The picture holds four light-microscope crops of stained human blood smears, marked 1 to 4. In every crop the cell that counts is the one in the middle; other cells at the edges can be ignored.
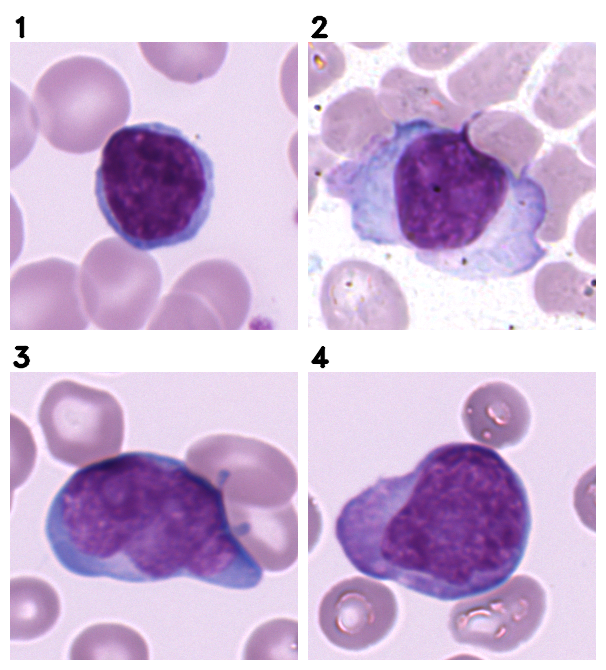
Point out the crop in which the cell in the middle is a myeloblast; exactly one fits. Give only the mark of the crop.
3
